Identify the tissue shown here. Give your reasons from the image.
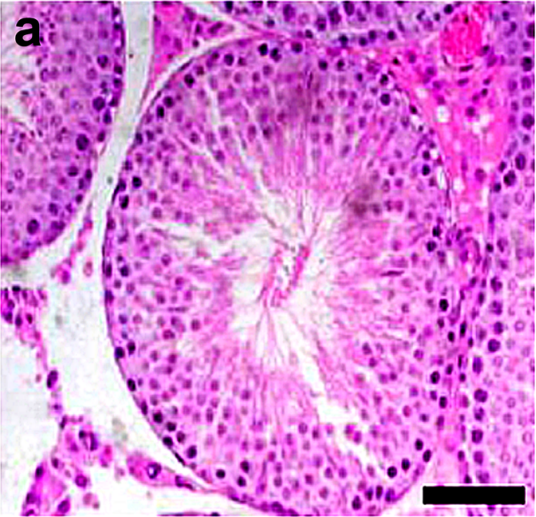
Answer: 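A large round tubule cut across fills the panel. The tubule wall is lined by many layers of cells with round dark nuclei. Pale pink strands converge toward the centre of the tubule. So: testis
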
